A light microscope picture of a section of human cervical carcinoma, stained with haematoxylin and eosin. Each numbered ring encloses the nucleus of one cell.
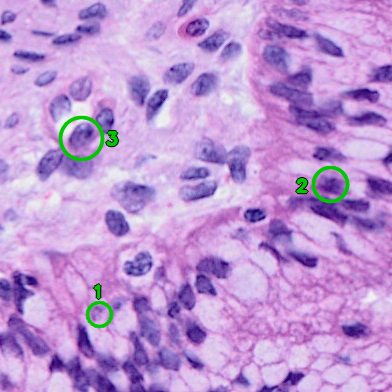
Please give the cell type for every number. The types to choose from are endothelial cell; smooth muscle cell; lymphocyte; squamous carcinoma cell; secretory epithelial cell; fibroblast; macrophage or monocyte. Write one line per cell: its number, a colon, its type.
1: secretory epithelial cell
2: secretory epithelial cell
3: endothelial cell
